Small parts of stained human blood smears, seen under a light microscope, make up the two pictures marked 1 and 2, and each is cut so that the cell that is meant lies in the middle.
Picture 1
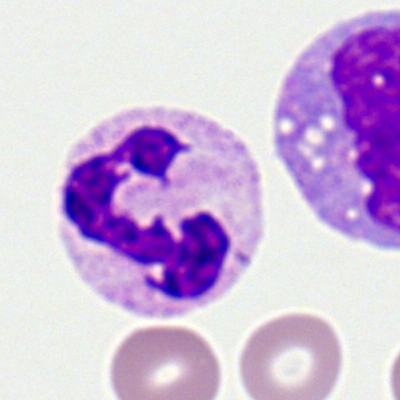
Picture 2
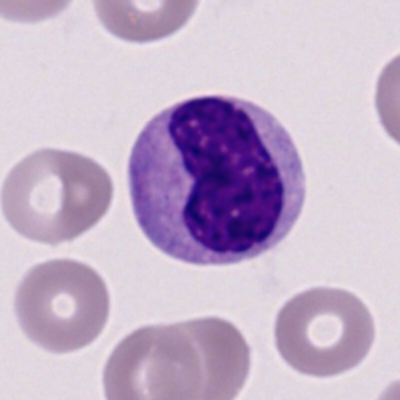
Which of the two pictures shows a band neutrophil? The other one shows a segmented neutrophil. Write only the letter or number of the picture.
2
